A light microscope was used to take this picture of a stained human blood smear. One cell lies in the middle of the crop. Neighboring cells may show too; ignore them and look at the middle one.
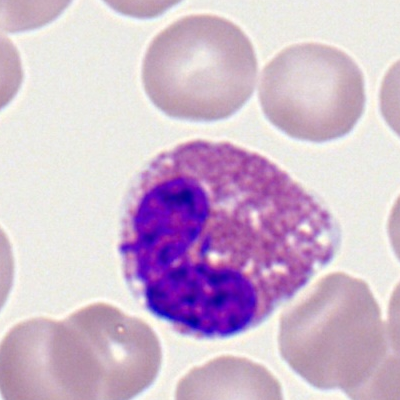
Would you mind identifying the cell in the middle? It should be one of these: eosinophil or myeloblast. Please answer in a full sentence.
The central element of this crop is a cell, namely an eosinophil.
